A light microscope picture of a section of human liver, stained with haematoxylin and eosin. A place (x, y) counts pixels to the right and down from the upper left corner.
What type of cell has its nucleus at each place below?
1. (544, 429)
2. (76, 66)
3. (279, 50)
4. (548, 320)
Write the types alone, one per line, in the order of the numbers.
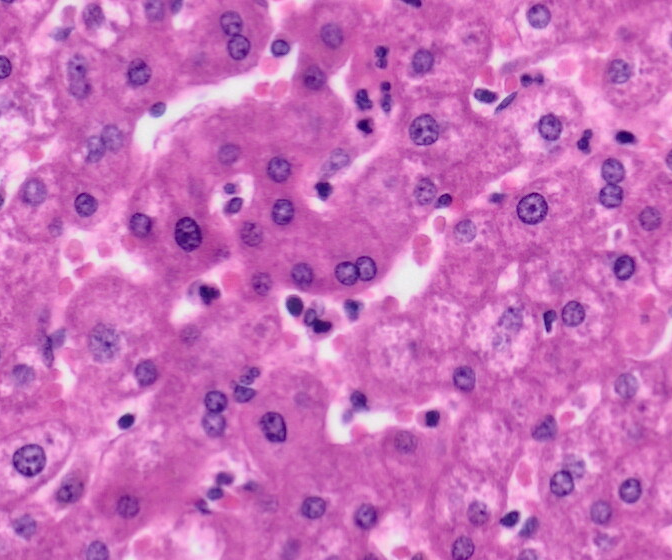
endothelial cell
hepatocyte
Kupffer cell
endothelial cell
